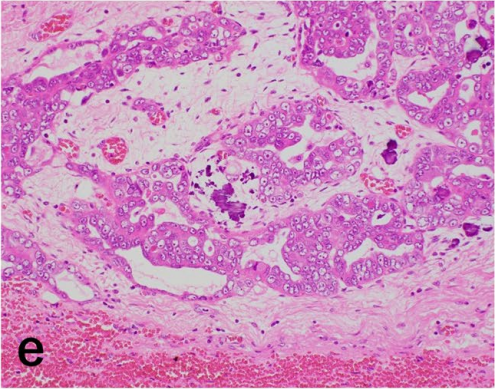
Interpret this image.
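The tumor cells have round nuclei with visible nucleoli and pink cytoplasm, lining small, irregular lumens. Dark purple, irregular calcified deposits lie among and beside the glands. Blood lies along the bottom of the field, and small vessels containing red cells are scattered in the stroma.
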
